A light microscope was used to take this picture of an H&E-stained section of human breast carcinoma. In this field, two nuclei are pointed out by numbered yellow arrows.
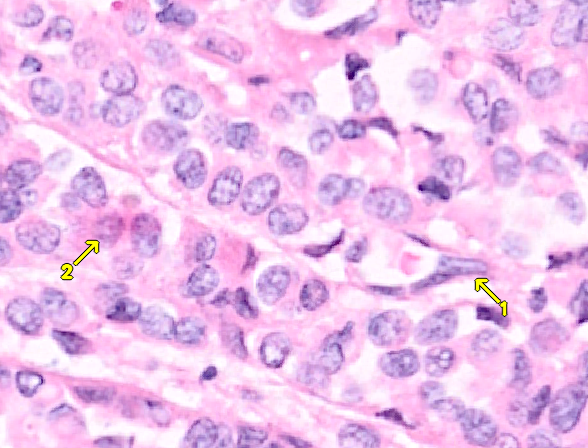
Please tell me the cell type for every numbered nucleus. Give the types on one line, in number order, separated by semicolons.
endothelial cell; carcinoma cell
